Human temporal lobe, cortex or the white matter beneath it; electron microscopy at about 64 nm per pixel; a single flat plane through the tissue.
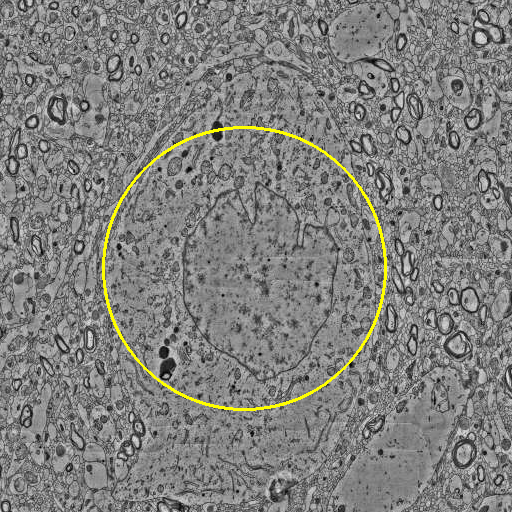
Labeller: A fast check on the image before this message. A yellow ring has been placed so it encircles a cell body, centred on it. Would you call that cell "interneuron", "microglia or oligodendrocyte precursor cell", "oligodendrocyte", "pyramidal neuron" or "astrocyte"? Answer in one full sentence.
In this image, a pyramidal neuron is the cell on which the yellow ring is centred.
